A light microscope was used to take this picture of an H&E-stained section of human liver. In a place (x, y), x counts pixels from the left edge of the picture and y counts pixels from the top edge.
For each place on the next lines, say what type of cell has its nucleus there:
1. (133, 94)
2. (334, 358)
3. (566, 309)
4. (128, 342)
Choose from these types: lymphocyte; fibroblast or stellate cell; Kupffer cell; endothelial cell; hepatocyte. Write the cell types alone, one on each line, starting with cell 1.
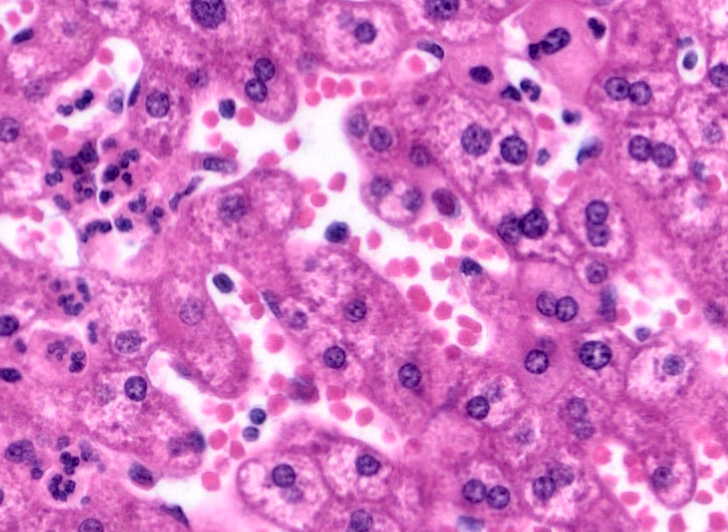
fibroblast or stellate cell
hepatocyte
hepatocyte
hepatocyte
